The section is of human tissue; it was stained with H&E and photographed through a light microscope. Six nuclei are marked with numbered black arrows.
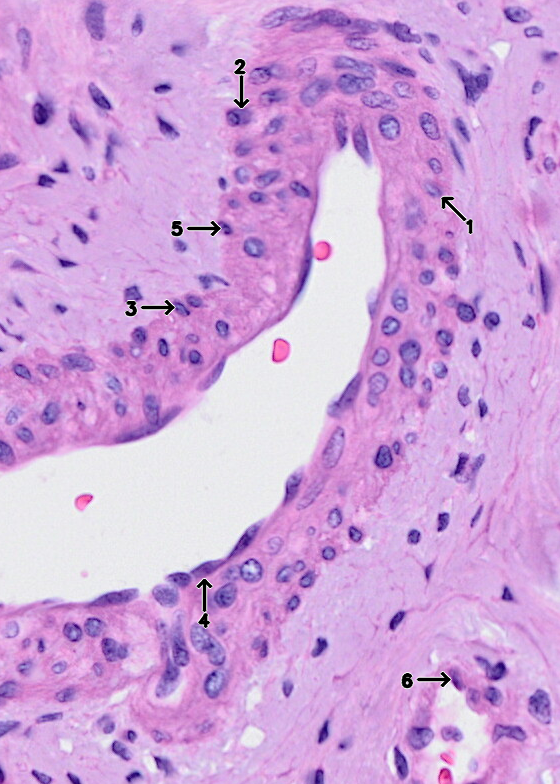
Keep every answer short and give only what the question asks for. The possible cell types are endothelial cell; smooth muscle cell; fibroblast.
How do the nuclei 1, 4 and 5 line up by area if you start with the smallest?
5, 1, 4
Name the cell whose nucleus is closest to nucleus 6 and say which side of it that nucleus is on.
an endothelial cell below and to the right of nucleus 6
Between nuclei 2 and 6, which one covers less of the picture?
6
